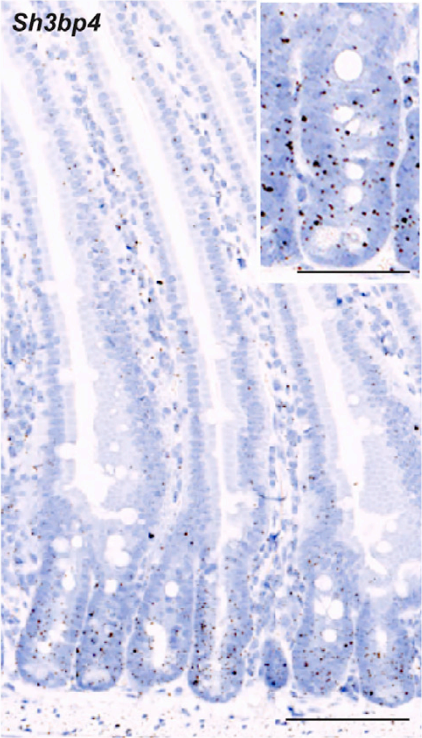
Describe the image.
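Section of small intestine with slender villi rising above short crypts, lined by a single layer of tall columnar epithelial cells with blue, basally placed nuclei and scattered pale goblet cells. The villus cores hold loose connective tissue with scattered cells. The inset shows a single crypt at higher magnification, its cells holding many brown dots, with clear rounded vacuoles near the crypt base.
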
